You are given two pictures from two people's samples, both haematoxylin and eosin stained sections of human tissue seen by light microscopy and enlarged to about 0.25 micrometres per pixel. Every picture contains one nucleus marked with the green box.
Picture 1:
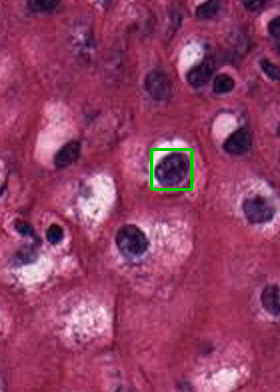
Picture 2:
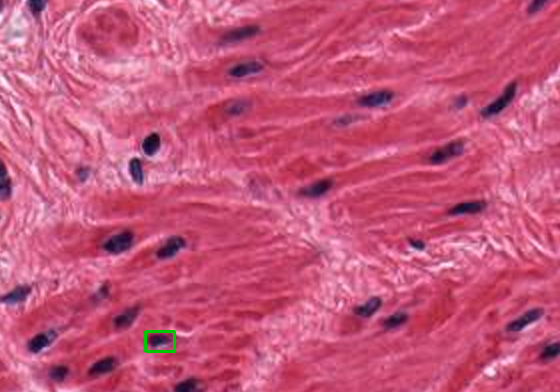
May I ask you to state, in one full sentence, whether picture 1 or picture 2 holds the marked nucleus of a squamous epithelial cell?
The marked nucleus in picture 1 is identified as that of a squamous epithelial cell.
